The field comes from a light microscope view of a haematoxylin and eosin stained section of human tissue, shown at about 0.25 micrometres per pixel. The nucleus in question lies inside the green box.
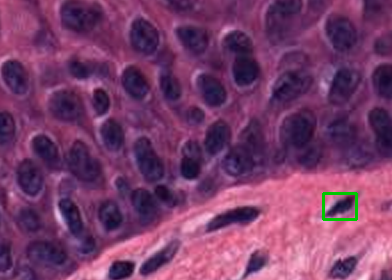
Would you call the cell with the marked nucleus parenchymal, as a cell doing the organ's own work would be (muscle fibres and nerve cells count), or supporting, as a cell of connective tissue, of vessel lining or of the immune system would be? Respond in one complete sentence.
As for the marked nucleus, it belongs to a supporting cell.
